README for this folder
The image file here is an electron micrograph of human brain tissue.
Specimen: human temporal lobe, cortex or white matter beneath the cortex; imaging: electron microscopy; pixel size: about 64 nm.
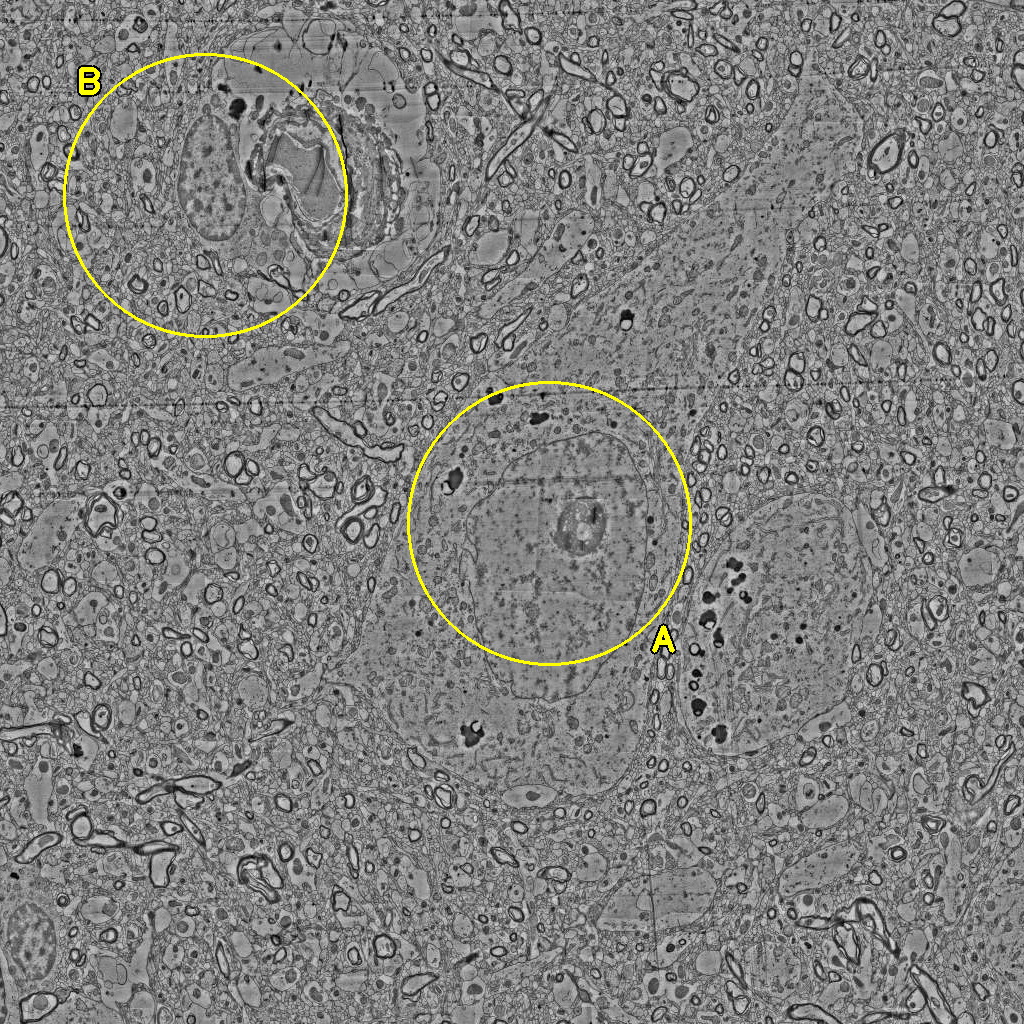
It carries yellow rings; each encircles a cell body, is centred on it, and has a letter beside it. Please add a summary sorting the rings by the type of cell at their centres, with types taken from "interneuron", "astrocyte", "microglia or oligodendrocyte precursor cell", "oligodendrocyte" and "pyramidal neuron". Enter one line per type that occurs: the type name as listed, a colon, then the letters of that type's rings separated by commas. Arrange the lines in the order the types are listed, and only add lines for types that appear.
oligodendrocyte: B
pyramidal neuron: A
